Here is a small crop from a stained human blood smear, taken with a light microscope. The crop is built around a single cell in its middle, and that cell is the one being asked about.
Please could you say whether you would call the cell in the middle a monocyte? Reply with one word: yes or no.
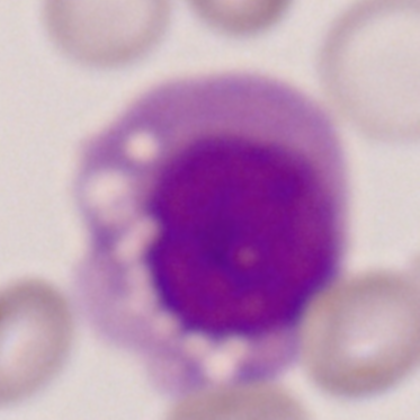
yes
